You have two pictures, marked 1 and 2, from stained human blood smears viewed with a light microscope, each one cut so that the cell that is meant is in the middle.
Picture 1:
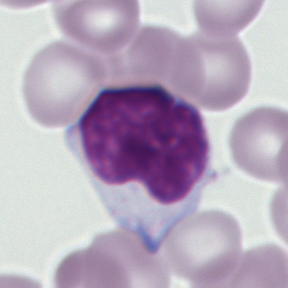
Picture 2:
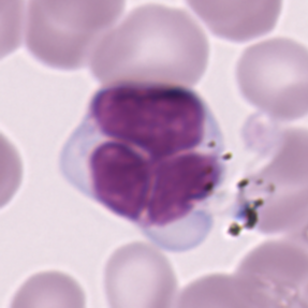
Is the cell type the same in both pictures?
yes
